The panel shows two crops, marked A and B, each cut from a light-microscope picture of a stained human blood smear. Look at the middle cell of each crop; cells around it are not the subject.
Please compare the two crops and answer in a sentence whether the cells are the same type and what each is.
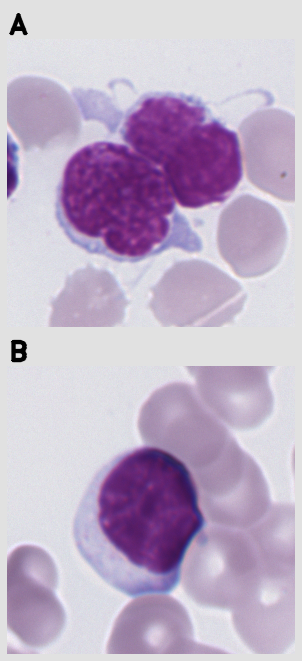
No, sorry, crop A shows a blast and crop B shows a large granular lymphocyte.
